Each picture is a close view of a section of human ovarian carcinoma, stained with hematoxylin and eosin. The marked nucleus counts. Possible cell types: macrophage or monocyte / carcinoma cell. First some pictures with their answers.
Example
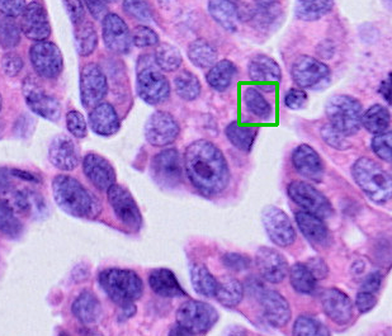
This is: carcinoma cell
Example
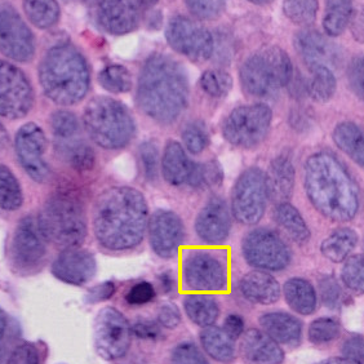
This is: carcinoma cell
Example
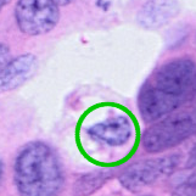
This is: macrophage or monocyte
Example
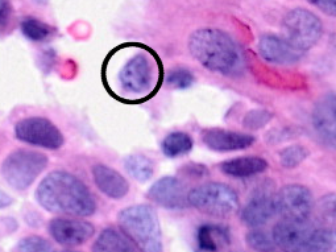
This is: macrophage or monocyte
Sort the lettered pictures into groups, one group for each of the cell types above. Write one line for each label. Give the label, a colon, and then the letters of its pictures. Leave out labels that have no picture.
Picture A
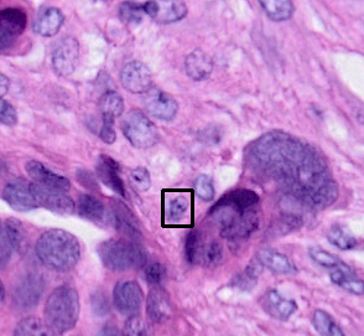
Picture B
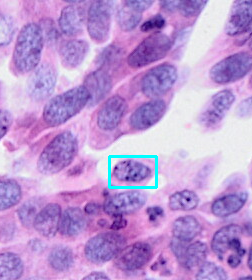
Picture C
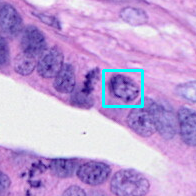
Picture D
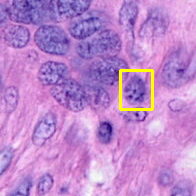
macrophage or monocyte: A, B, C, D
